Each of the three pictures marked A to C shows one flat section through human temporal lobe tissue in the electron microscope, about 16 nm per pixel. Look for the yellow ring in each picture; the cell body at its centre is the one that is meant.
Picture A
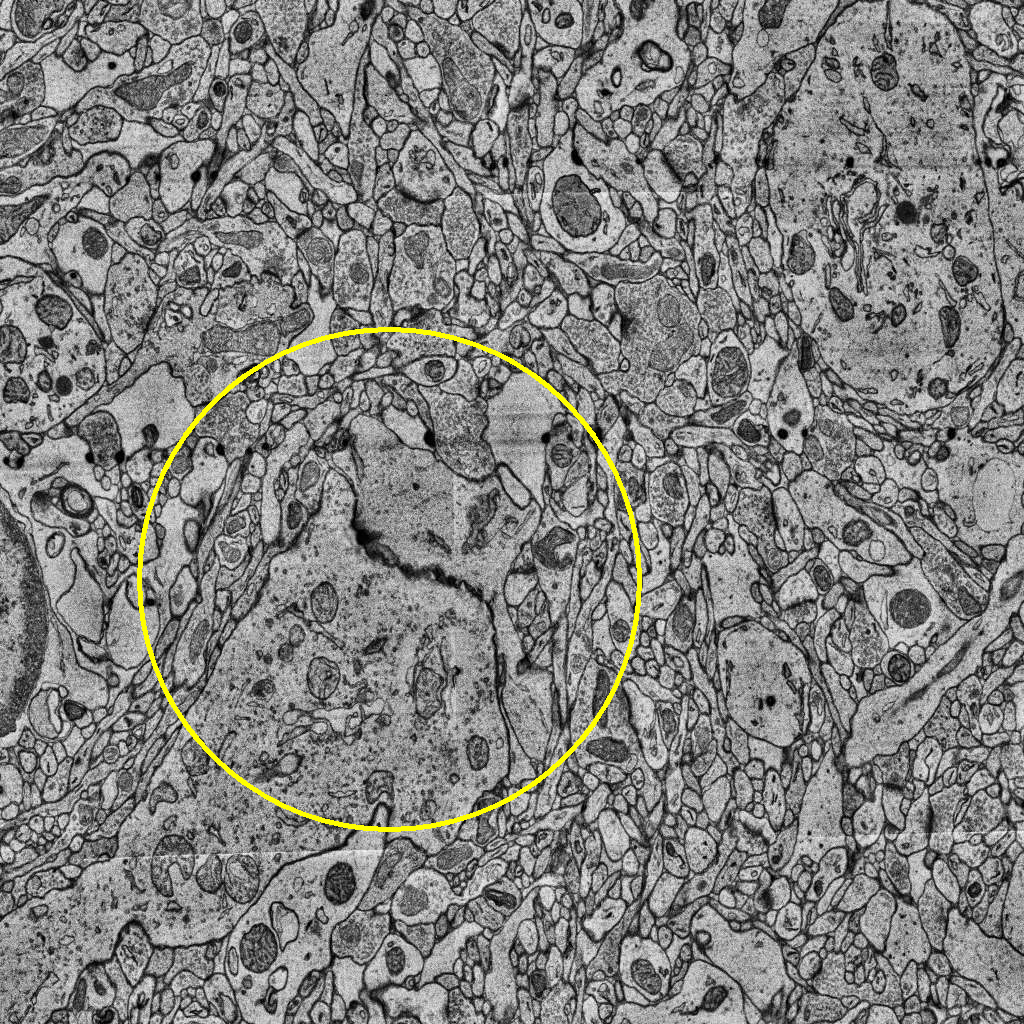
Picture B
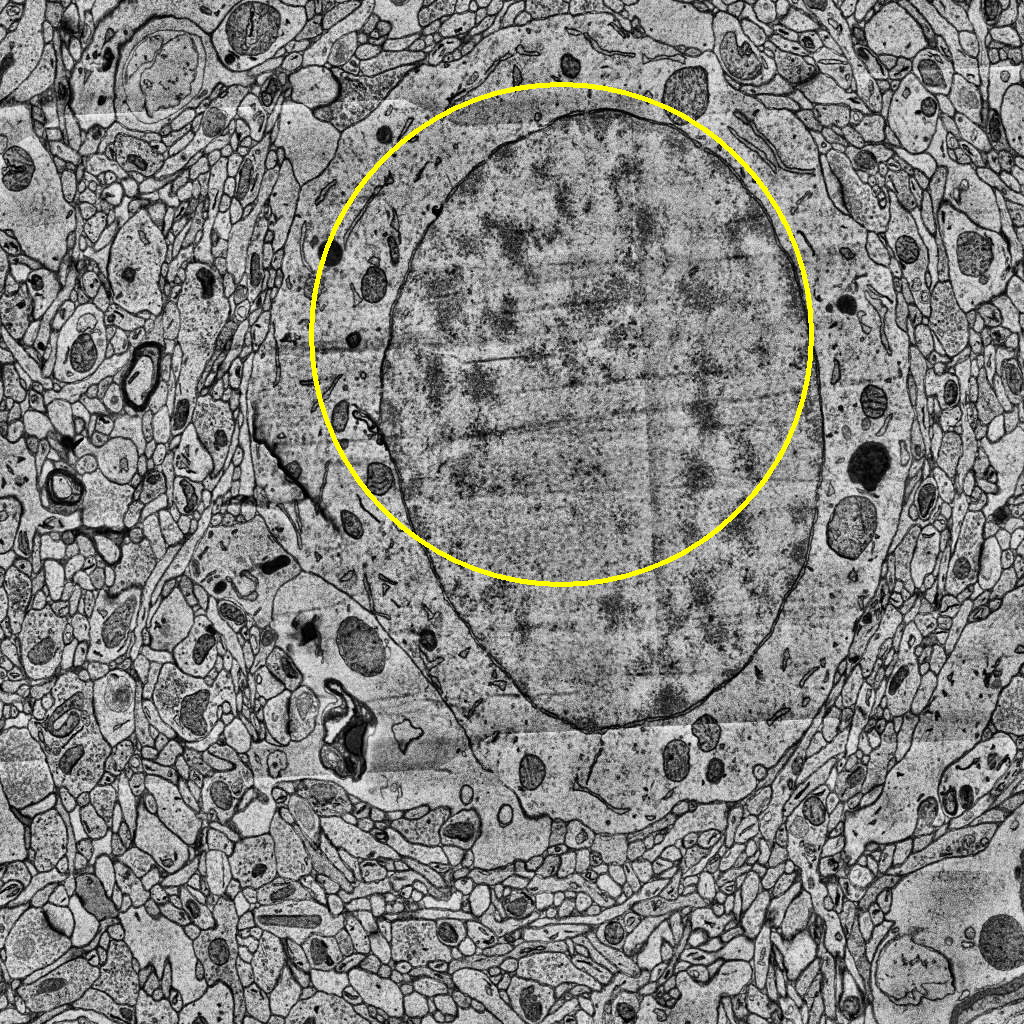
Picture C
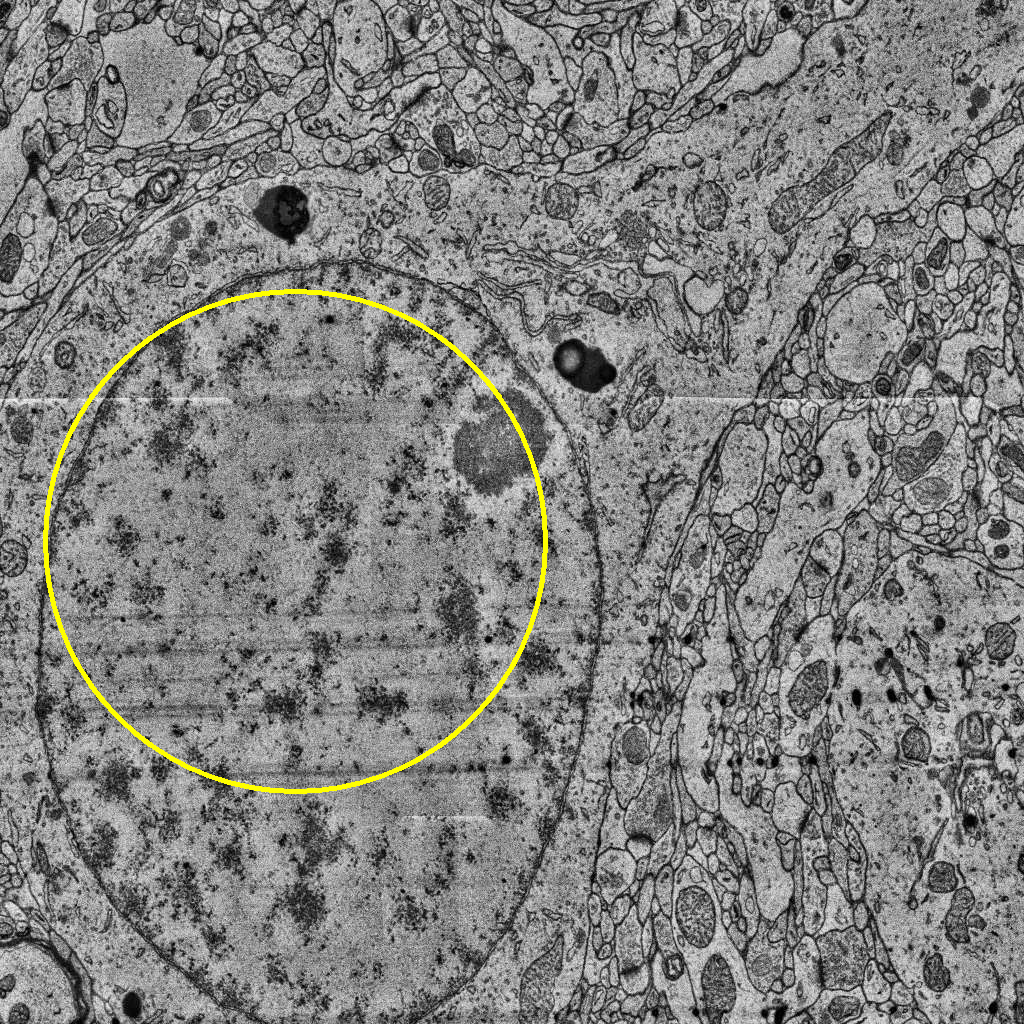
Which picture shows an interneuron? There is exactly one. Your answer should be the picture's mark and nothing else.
A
